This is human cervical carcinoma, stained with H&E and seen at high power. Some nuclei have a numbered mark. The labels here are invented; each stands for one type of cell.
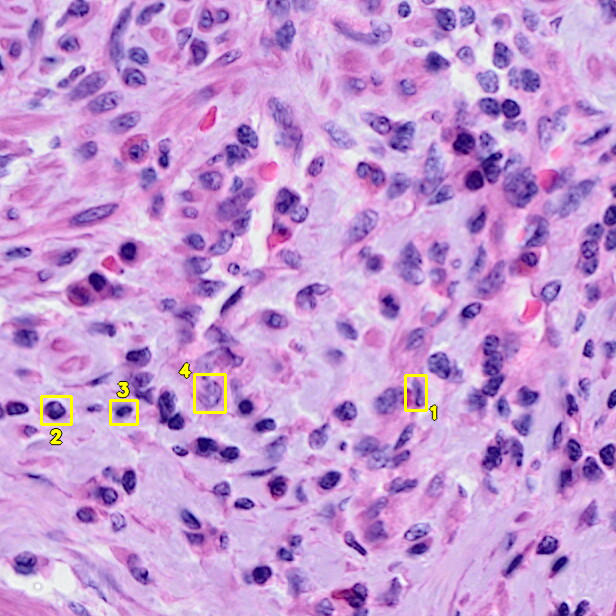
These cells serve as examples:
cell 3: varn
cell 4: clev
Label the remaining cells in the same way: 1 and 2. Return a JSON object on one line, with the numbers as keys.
{"1": "clev", "2": "varn"}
